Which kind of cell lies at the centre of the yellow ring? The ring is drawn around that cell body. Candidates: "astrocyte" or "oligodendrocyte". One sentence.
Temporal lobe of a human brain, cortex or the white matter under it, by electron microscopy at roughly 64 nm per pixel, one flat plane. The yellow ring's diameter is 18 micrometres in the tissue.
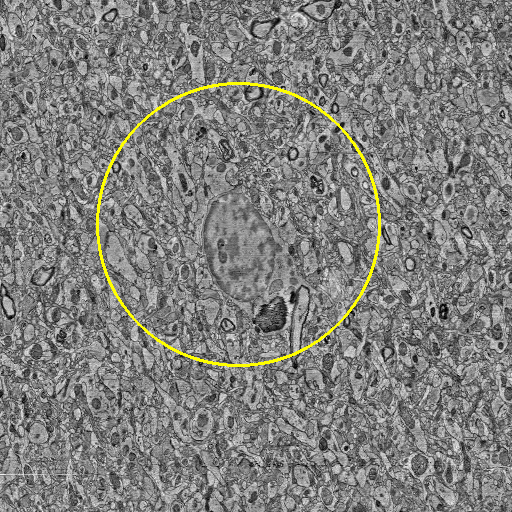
Lying at the centre of the ring is an oligodendrocyte.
